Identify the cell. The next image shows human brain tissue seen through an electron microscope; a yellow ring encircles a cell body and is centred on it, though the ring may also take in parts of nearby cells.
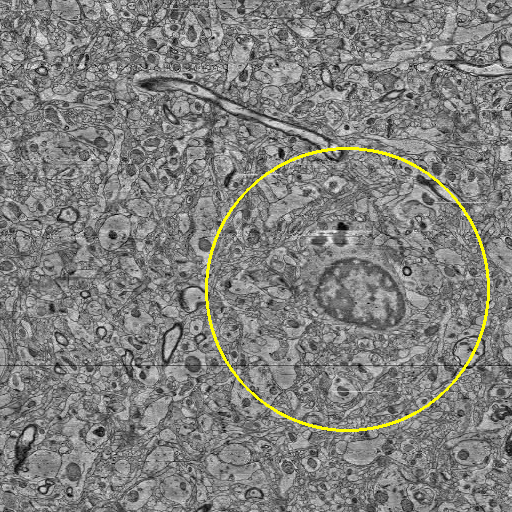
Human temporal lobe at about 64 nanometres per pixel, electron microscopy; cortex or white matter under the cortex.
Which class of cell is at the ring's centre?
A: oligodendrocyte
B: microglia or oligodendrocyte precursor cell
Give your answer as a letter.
A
